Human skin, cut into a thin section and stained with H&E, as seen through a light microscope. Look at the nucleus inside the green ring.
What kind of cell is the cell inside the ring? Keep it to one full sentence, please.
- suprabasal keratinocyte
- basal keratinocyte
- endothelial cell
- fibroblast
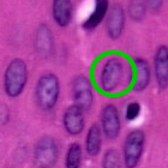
The cell type represented by the cell inside the ring is that of a suprabasal keratinocyte.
